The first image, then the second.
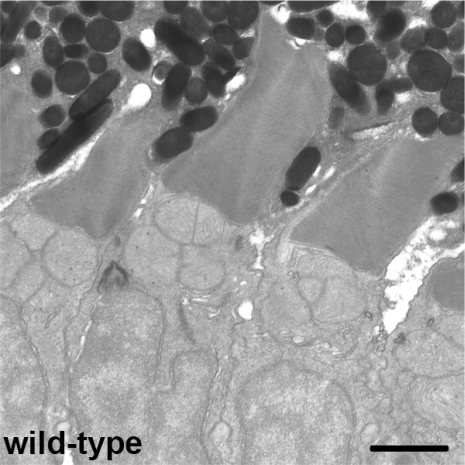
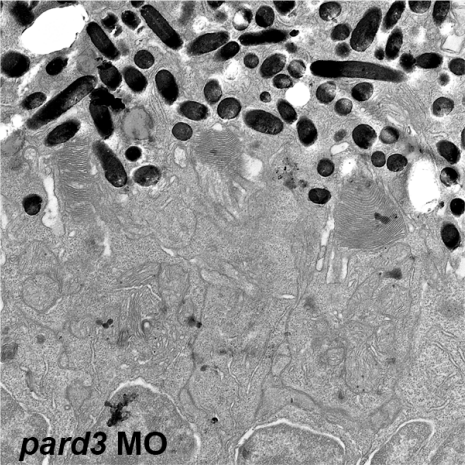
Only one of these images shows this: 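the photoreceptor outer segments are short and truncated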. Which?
the second image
